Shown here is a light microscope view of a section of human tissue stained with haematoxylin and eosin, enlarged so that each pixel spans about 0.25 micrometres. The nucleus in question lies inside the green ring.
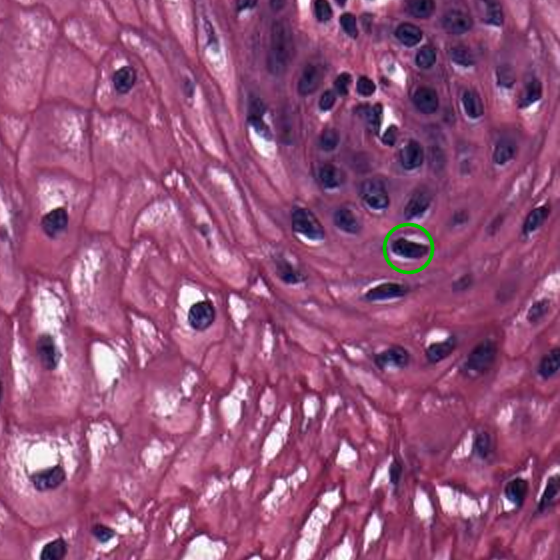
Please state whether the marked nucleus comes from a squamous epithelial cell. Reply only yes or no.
yes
